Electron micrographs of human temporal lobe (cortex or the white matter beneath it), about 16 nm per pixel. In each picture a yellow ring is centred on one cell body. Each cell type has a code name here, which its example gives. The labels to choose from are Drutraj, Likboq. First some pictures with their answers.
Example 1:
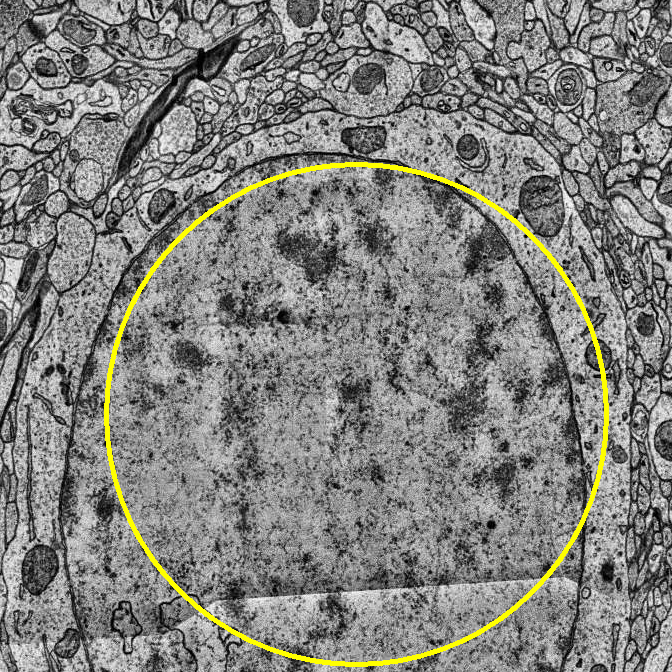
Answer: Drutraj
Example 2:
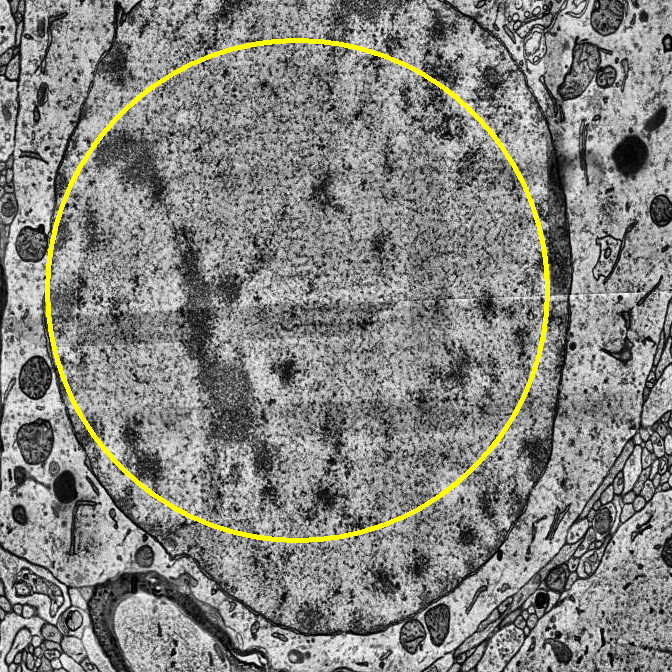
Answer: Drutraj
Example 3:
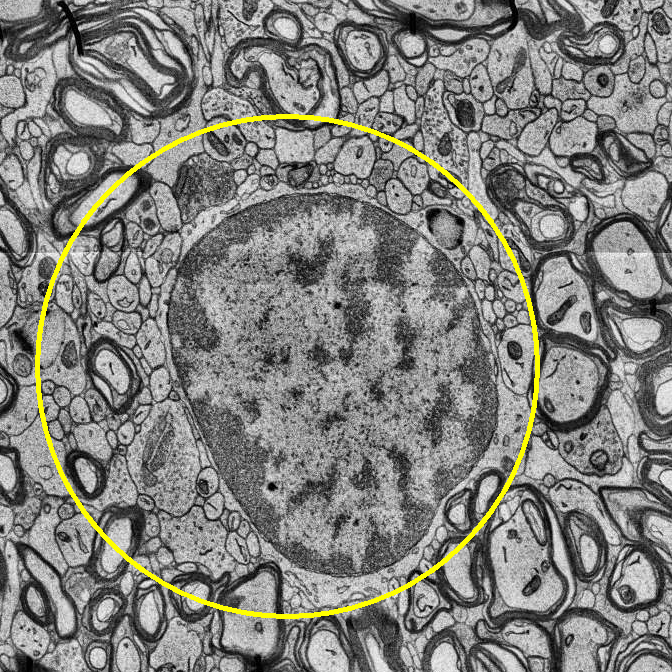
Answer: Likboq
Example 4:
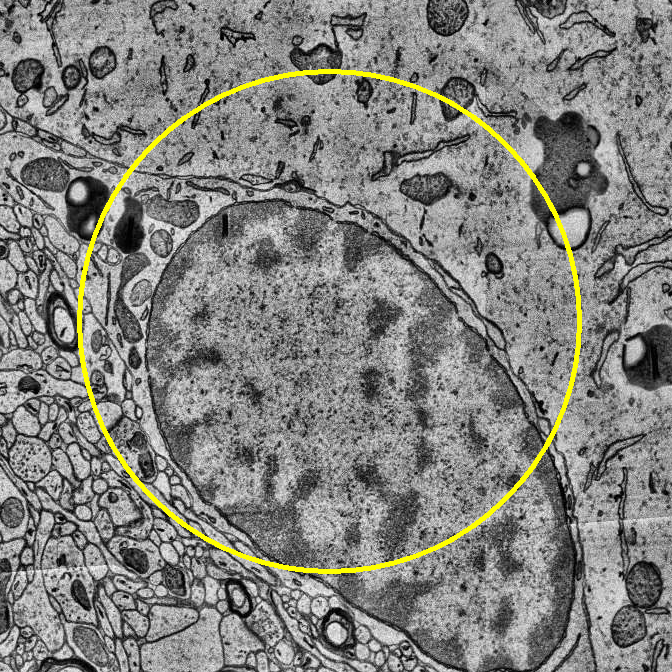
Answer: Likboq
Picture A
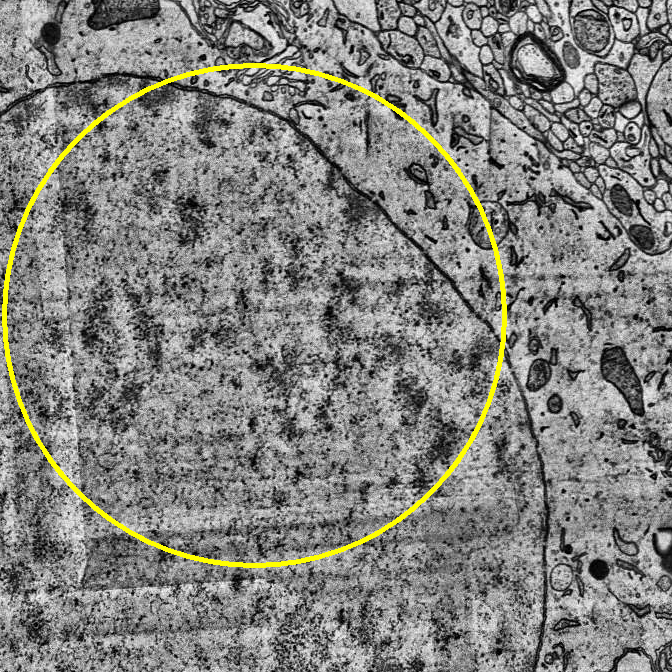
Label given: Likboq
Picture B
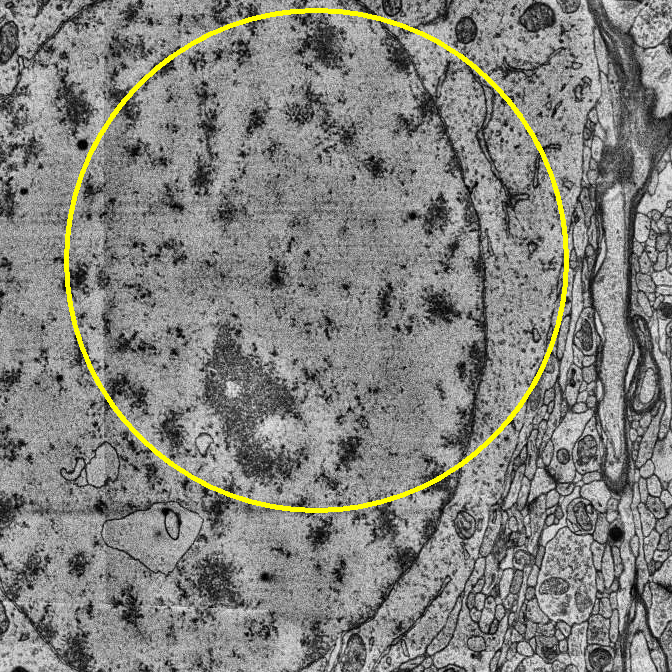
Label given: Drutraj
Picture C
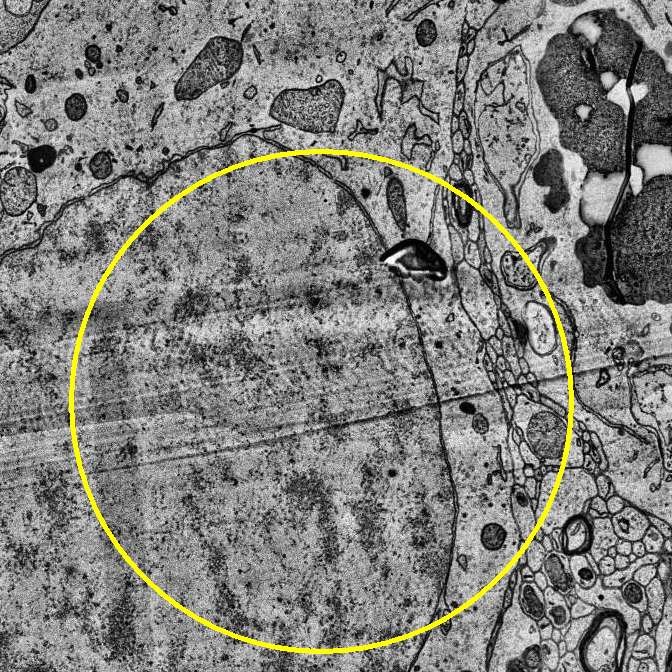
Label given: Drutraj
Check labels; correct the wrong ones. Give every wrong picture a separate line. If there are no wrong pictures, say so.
A: change Likboq to Drutraj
